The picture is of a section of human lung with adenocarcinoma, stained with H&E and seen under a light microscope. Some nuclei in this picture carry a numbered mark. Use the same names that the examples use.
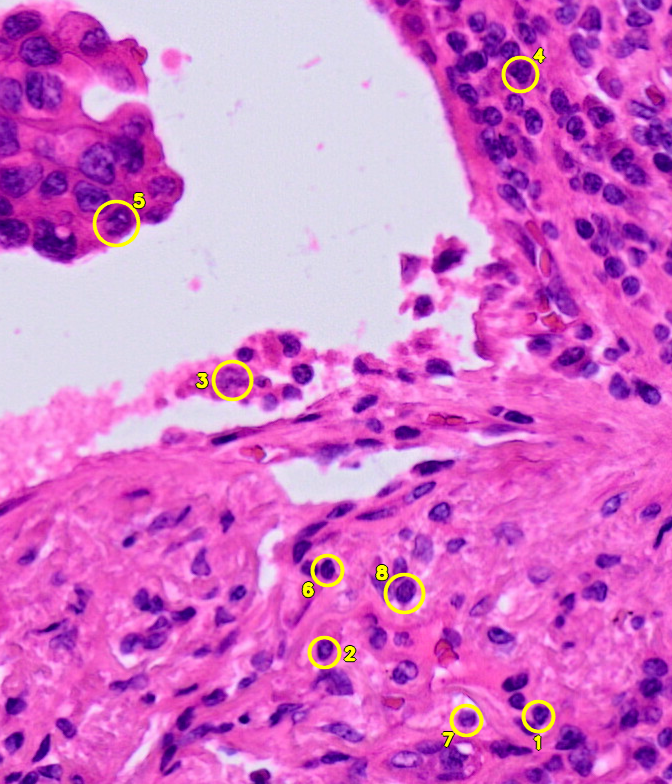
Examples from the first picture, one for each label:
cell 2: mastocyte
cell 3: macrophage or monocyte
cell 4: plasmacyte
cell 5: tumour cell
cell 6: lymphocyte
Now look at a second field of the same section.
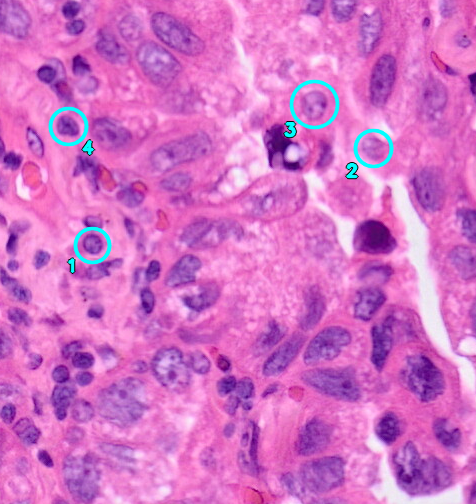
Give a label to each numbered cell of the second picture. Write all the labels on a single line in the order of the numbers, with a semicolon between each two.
plasmacyte; macrophage or monocyte; macrophage or monocyte; lymphocyte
